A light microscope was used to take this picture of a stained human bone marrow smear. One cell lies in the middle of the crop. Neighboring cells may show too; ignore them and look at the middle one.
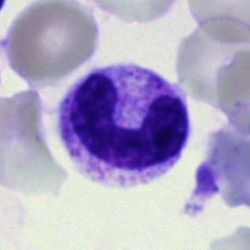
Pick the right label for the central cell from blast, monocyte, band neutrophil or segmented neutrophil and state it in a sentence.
The cell under consideration, at the middle of the crop, is a band neutrophil.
